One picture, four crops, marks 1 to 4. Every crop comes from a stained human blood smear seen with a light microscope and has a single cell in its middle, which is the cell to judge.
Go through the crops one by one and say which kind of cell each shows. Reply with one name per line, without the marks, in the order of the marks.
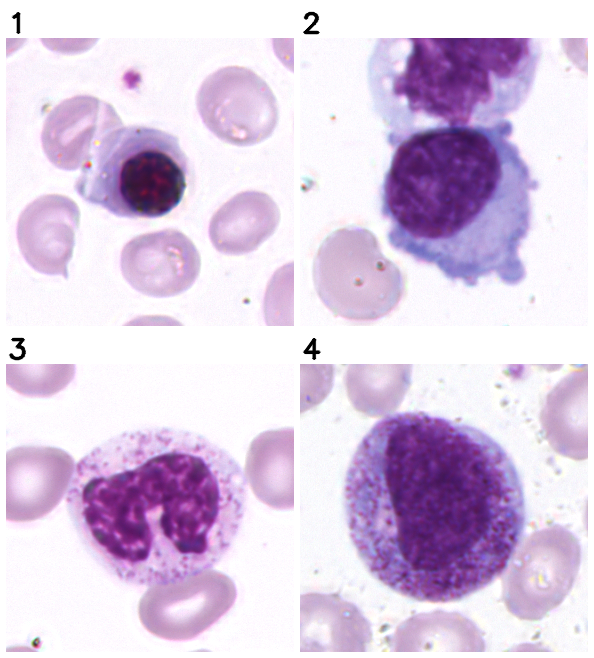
normoblast
plasma cell
band neutrophil
promyelocyte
